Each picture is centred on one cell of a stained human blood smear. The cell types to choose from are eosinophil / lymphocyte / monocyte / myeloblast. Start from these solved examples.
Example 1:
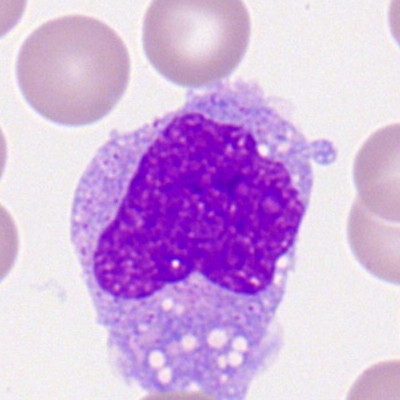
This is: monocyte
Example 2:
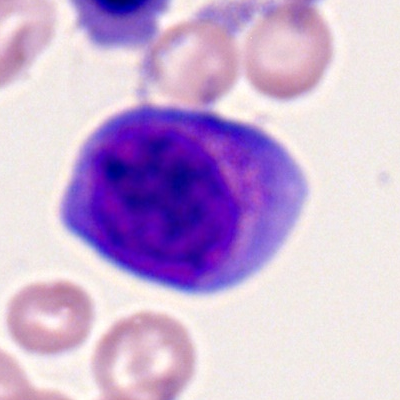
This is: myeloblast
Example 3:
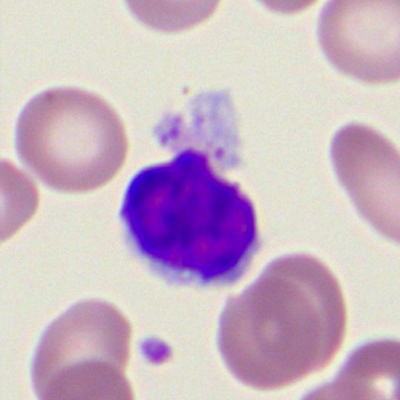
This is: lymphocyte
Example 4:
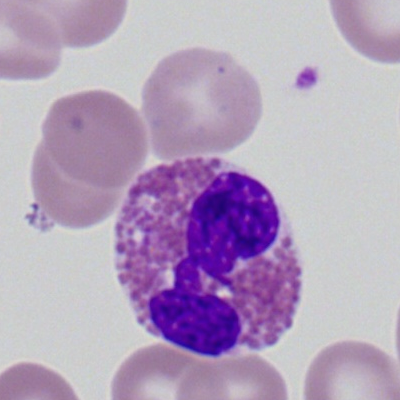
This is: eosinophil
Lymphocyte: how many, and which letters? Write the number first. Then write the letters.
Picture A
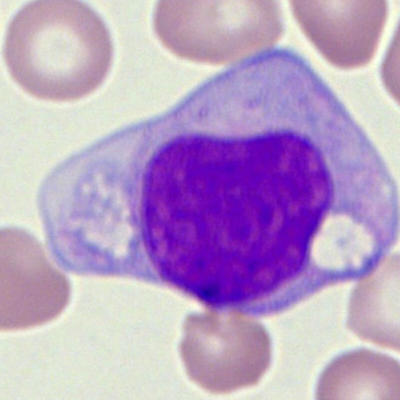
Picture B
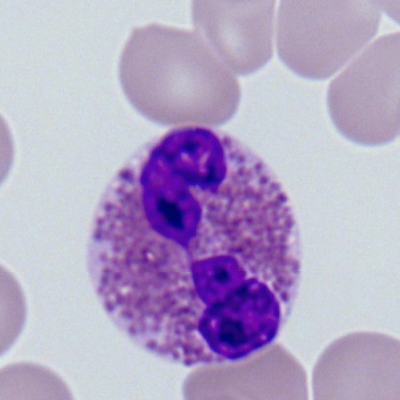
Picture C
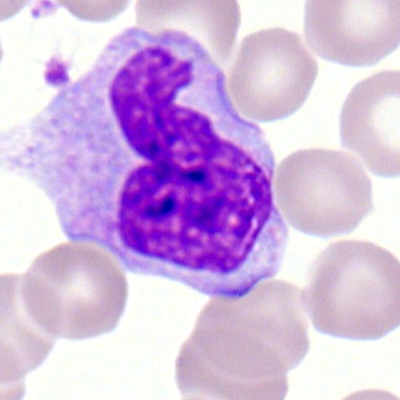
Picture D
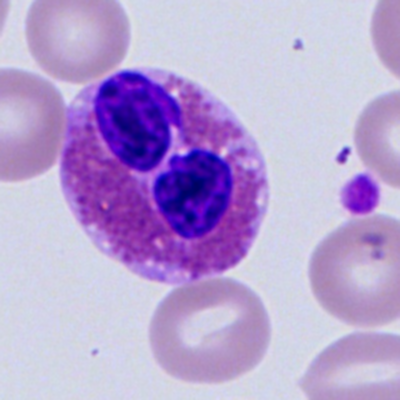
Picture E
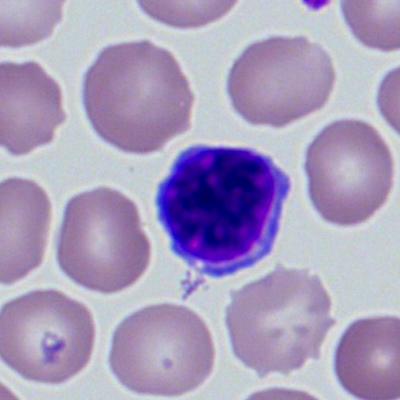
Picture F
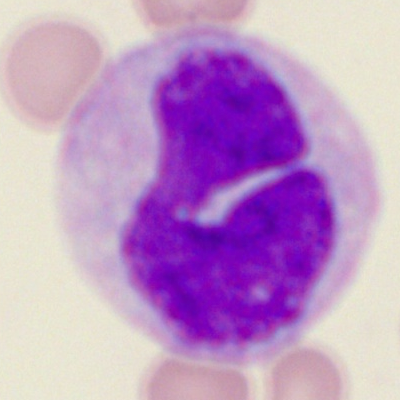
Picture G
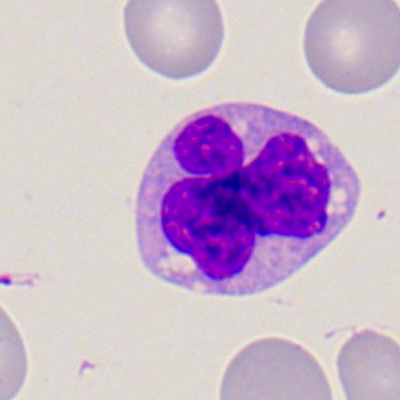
Count: 1 (E)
